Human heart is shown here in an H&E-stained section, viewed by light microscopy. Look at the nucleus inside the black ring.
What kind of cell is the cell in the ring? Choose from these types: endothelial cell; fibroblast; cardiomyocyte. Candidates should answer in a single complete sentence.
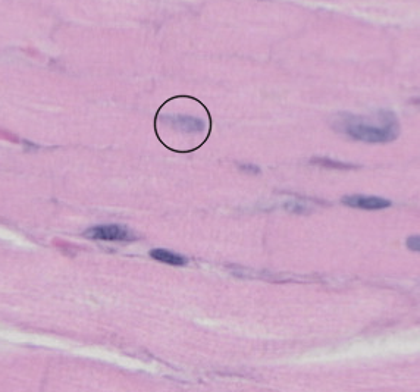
Within the stained tissue, the cell in the ring is a fibroblast.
